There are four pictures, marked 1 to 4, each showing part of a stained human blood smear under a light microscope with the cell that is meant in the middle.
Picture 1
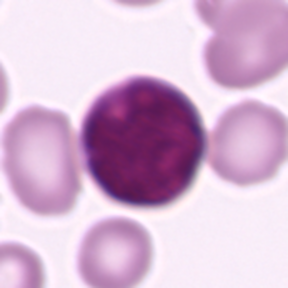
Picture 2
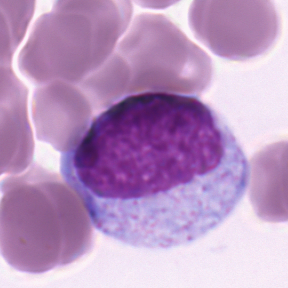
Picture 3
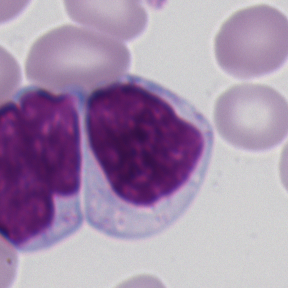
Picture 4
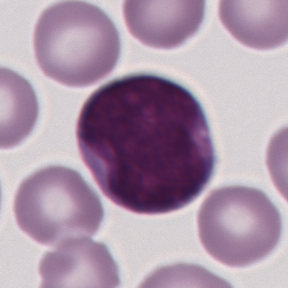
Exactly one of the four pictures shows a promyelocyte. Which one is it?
2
